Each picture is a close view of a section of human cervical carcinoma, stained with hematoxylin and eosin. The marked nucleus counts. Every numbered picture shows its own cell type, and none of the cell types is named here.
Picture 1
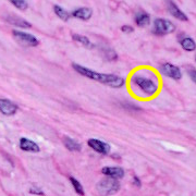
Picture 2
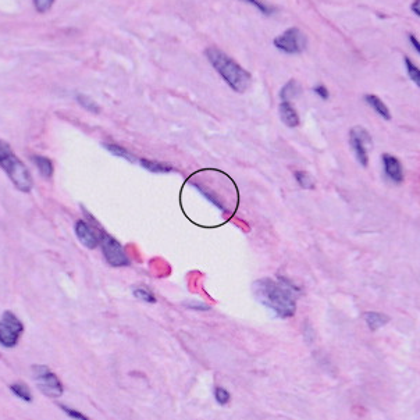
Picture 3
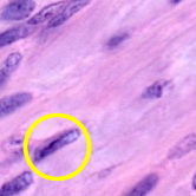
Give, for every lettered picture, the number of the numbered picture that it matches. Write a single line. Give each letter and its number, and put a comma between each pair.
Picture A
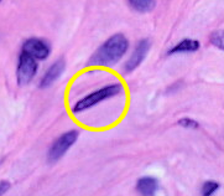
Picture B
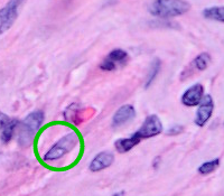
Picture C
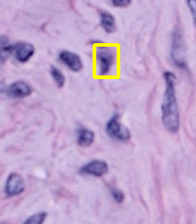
A 3, B 2, C 1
